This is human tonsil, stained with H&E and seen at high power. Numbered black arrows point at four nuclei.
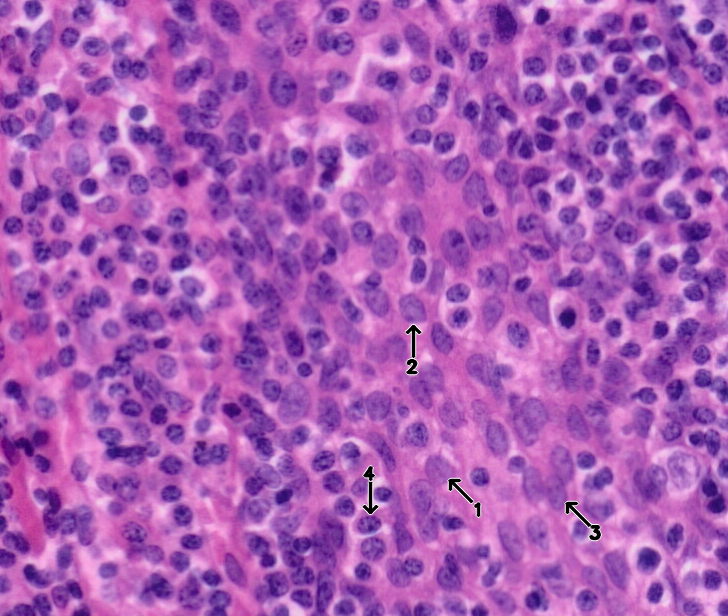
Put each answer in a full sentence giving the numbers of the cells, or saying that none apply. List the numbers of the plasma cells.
Of the cells carrying numbers, just cell 4 is a plasma cell.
